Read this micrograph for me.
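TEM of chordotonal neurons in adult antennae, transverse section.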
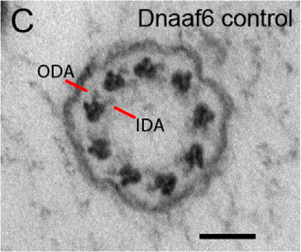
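Small dark arms project from each doublet towards its neighbour. The centre of the ring is pale and holds no central pair of microtubules, the pattern of an axoneme with nine outer doublets only. Around the cilium lies pale, finely fibrous material.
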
